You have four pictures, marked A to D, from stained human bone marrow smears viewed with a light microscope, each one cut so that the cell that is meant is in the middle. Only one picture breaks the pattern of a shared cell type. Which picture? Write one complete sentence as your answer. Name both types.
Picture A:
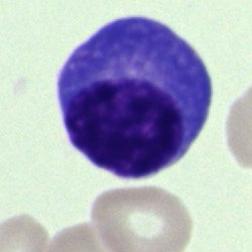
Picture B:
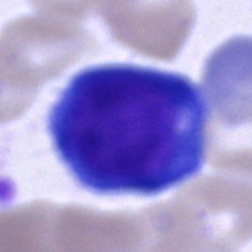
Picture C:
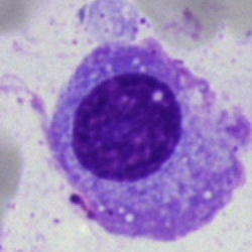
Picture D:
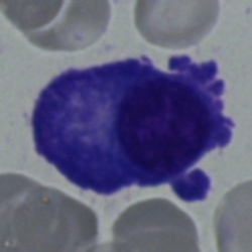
The others show plasma cells, but picture B shows a proerythroblast.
